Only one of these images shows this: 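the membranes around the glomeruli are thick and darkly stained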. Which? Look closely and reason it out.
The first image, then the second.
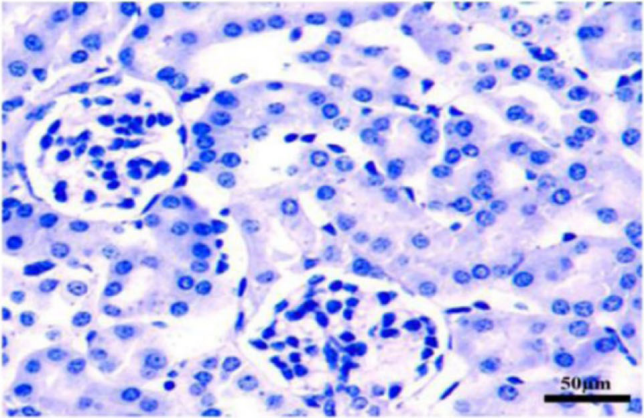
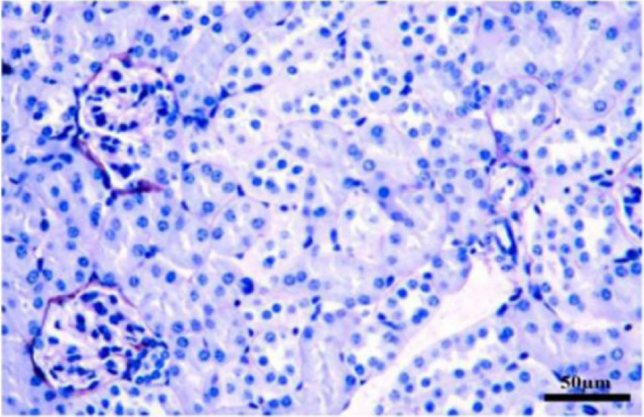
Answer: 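First image: the glomeruli are bordered by pale, barely visible lines. Second image: dark purple-black lines trace the borders of the glomeruli. So: the second image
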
